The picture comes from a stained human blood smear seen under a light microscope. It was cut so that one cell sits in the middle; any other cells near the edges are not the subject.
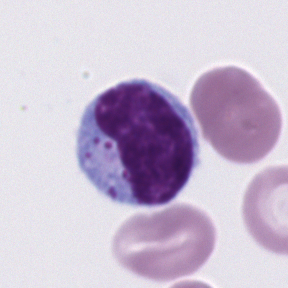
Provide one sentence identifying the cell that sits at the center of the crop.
The cell featured at the centre of this crop is a large granular lymphocyte.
